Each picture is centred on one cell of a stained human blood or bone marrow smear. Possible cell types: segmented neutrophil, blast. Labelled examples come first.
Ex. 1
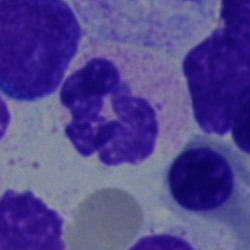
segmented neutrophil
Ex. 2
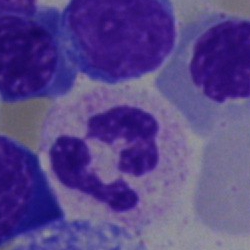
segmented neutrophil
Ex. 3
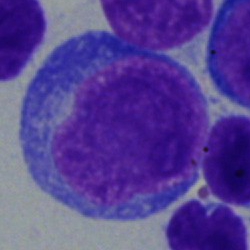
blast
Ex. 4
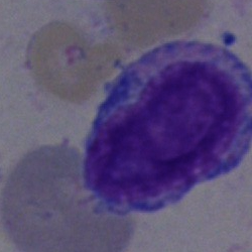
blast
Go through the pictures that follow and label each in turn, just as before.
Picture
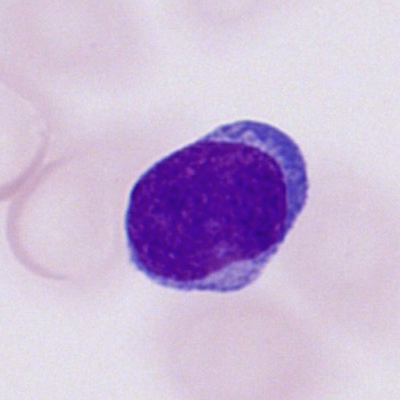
blast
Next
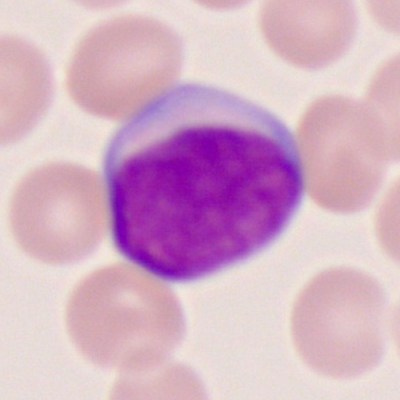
blast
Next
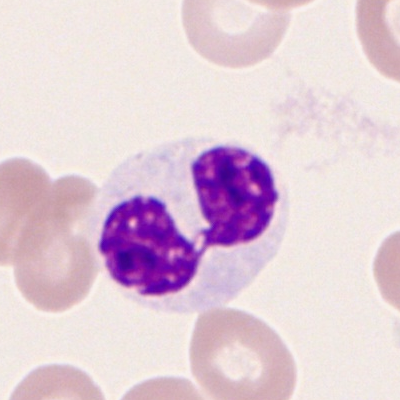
segmented neutrophil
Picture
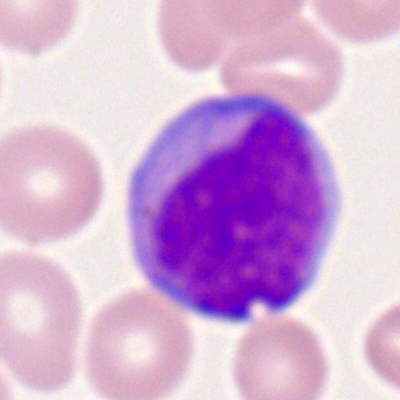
blast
